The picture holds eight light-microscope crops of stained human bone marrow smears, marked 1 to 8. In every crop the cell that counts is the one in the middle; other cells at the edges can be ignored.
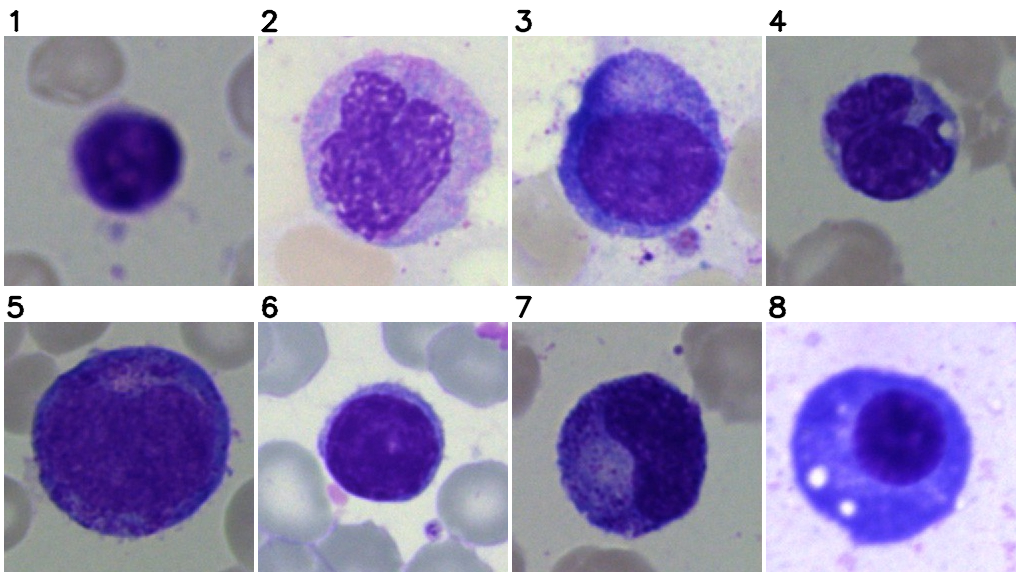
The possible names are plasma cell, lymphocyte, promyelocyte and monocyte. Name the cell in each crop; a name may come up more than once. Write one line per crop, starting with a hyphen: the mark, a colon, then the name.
- 1: lymphocyte
- 2: monocyte
- 3: promyelocyte
- 4: monocyte
- 5: promyelocyte
- 6: lymphocyte
- 7: promyelocyte
- 8: plasma cell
